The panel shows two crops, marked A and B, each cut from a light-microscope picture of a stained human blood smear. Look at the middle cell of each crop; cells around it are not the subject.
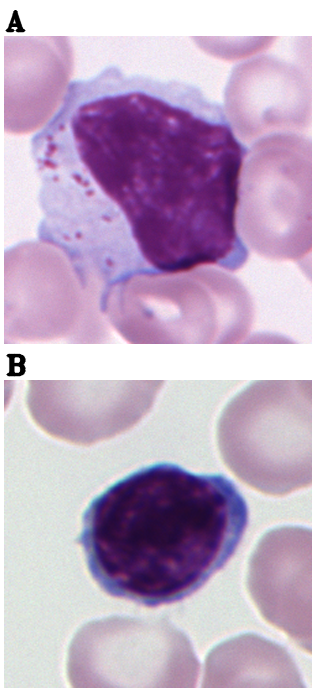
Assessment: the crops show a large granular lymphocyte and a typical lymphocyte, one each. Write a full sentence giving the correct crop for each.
Well, crop A is a large granular lymphocyte, and crop B is a typical lymphocyte.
